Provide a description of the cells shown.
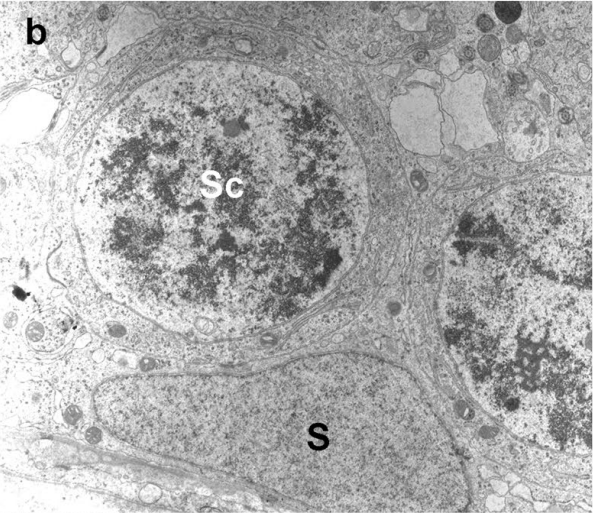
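The basal part of the seminiferous epithelium shows a large round primary spermatocyte nucleus with coarse, dark clumps of chromatin scattered through a paler nucleoplasm. Below it lies a Sertoli cell nucleus with finely dispersed, evenly granular chromatin and a smooth envelope. Thin interdigitating cytoplasmic processes with small mitochondria separate the cells, and a further nucleus with patchy chromatin lies at the right edge.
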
